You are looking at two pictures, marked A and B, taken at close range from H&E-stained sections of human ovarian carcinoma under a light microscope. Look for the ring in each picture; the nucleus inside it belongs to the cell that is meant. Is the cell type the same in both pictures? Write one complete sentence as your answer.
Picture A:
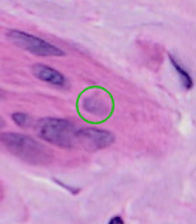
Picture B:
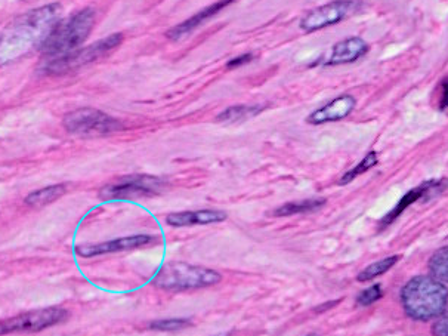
No, they differ: the cell is a smooth muscle cell in picture A and a fibroblast in picture B.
